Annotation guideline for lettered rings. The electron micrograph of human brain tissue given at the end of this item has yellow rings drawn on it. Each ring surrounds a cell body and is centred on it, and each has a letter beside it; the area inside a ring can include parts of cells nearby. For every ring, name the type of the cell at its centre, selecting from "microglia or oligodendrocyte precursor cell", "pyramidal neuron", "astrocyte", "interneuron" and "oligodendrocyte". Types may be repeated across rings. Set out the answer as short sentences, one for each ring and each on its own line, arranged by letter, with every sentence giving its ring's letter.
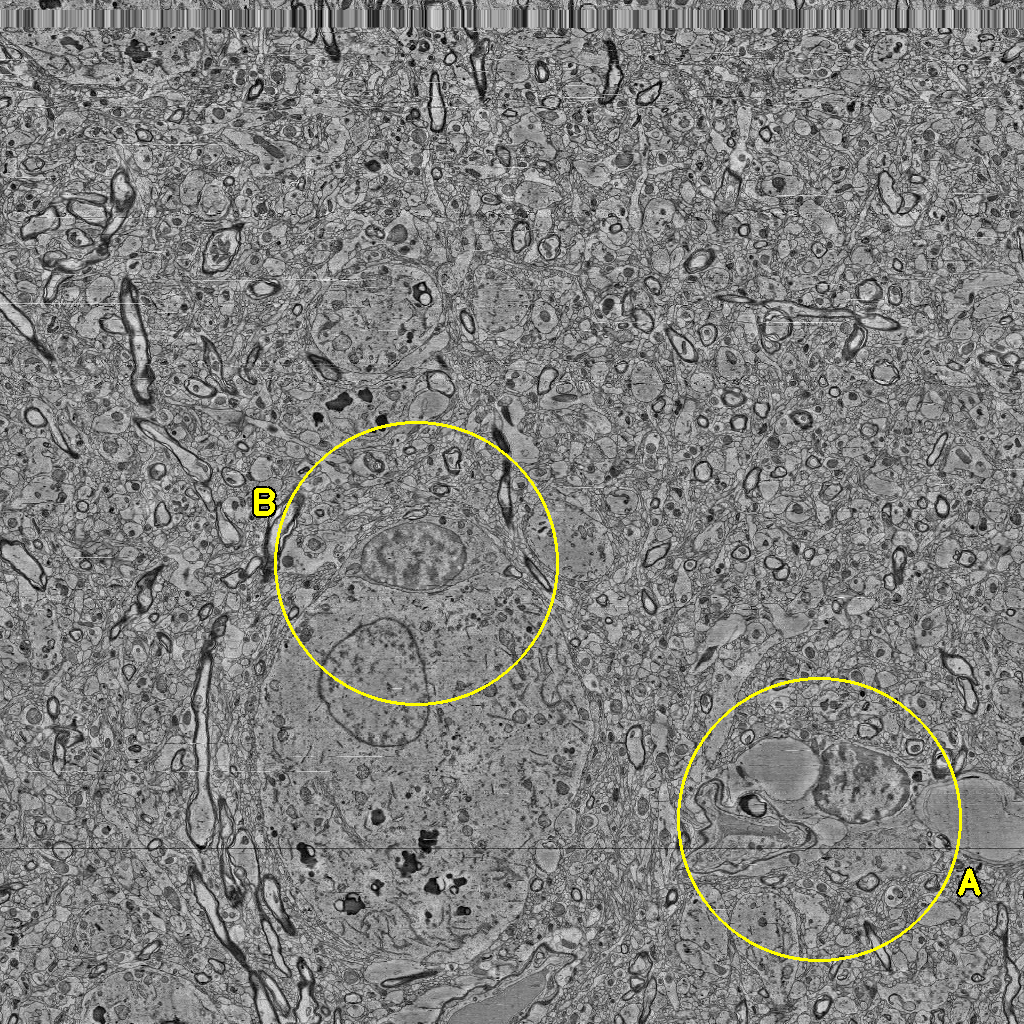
The cell centred in ring A is a microglial cell or oligodendrocyte precursor cell.
The cell centred in ring B is an oligodendrocyte.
